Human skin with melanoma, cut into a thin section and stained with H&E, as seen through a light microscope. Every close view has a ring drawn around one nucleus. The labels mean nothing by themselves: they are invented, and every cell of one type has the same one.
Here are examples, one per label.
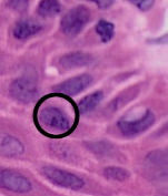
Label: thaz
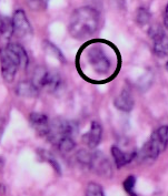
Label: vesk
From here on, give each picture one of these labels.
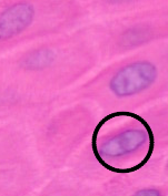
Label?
thaz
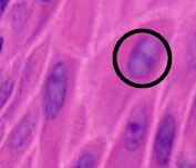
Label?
thaz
